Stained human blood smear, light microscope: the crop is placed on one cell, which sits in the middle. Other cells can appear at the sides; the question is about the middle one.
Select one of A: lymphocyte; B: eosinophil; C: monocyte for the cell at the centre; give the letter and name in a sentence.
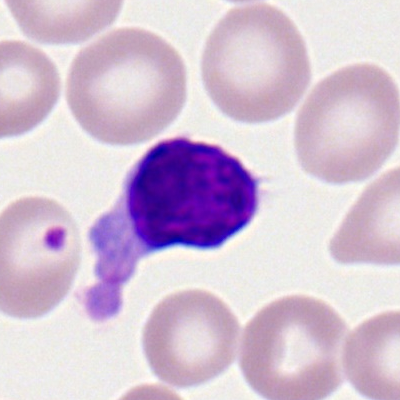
The best answer is option A, since the cell in the middle is a lymphocyte.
